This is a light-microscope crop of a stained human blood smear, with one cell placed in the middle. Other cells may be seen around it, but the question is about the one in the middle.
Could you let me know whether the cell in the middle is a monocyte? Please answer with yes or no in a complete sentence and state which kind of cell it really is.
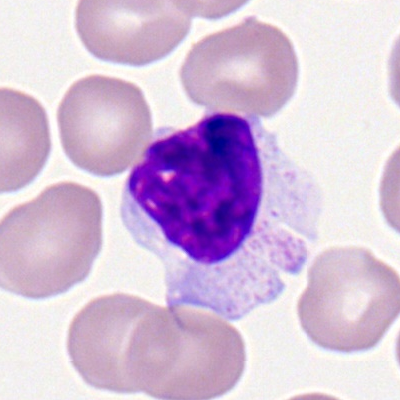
No, the cell sitting in the middle is a lymphocyte, and it is not a monocyte.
